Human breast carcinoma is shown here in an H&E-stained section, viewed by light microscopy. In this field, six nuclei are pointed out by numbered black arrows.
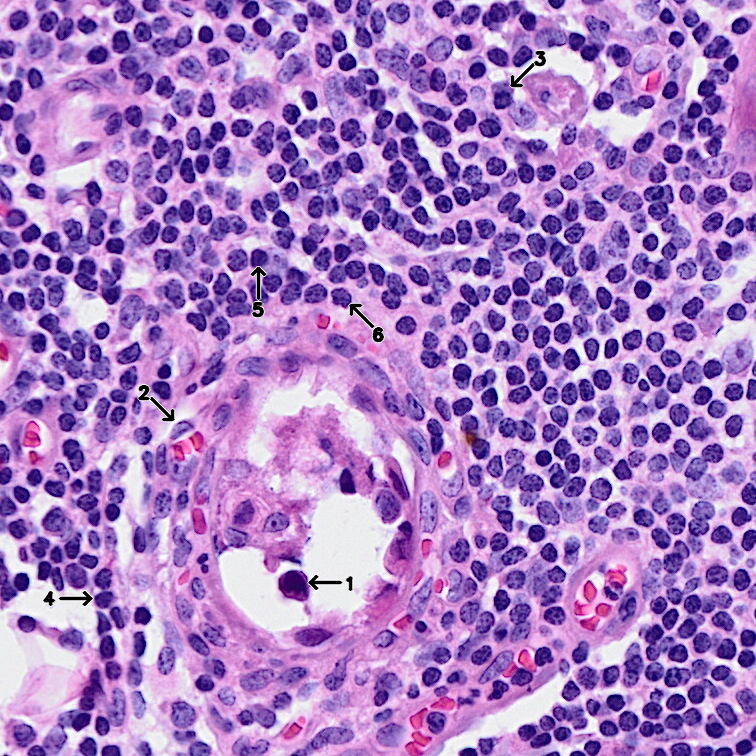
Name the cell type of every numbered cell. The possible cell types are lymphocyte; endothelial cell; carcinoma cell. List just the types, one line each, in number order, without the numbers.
carcinoma cell
endothelial cell
lymphocyte
lymphocyte
lymphocyte
lymphocyte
